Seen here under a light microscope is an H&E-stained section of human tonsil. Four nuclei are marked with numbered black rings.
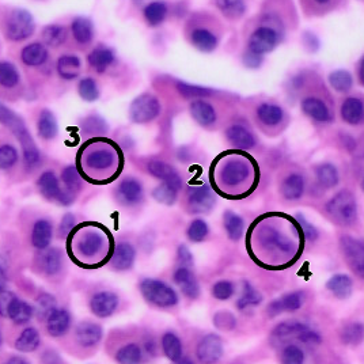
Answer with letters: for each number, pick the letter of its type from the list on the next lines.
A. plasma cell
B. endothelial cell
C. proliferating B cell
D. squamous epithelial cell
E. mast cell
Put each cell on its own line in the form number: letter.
1: A
2: A
3: A
4: D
